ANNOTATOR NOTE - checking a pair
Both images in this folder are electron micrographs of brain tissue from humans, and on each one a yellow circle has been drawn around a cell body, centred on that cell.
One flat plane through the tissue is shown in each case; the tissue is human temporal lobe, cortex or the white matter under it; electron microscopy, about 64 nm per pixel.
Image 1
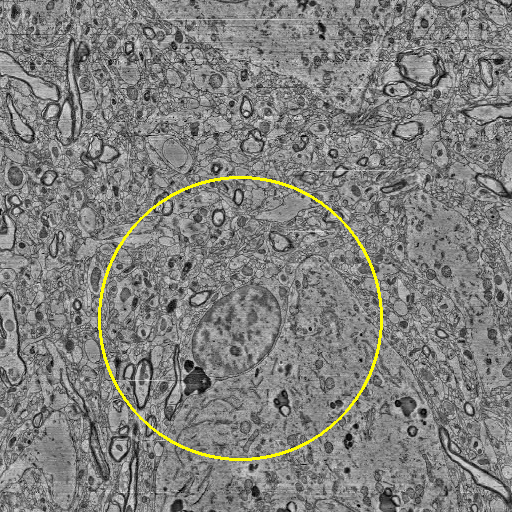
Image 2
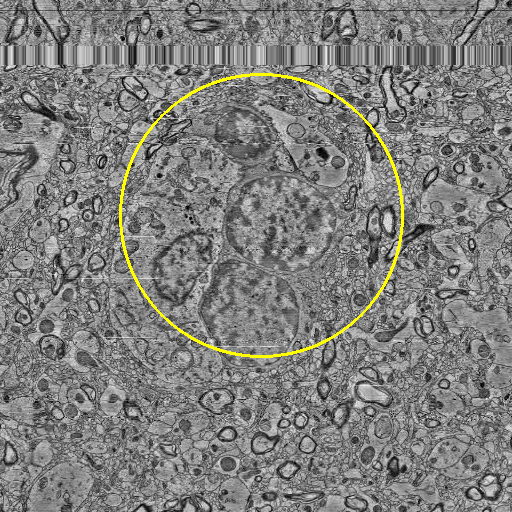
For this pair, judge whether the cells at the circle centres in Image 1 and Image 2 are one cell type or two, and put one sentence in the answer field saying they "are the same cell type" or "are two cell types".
For this pair, the cells at the circle centres in Images 1 and 2 are the same cell type.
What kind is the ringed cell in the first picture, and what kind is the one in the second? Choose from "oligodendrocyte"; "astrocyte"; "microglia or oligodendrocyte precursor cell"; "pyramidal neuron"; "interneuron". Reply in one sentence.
Each one of the two ringed cells is an oligodendrocyte.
